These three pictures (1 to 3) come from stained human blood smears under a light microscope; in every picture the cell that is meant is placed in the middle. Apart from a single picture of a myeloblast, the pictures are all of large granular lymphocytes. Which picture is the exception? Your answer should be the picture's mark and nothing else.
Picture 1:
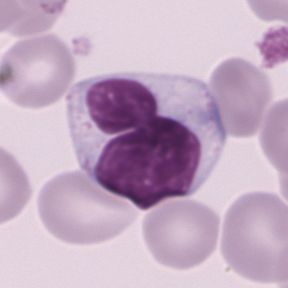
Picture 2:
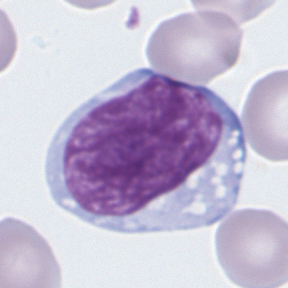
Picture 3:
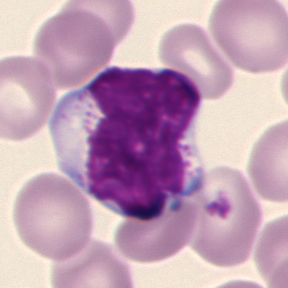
2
